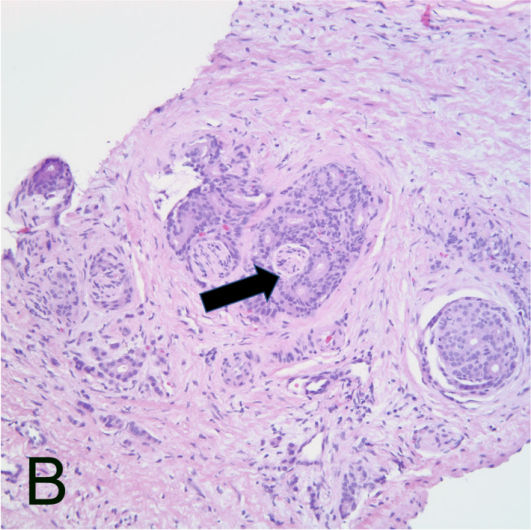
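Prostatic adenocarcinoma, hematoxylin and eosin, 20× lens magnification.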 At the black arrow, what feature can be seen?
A: Small nerves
